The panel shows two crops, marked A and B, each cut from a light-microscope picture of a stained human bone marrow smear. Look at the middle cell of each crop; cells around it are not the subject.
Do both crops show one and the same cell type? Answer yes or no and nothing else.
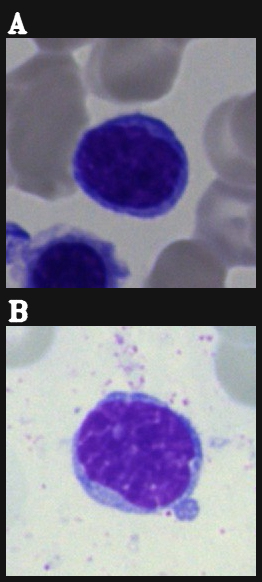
yes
